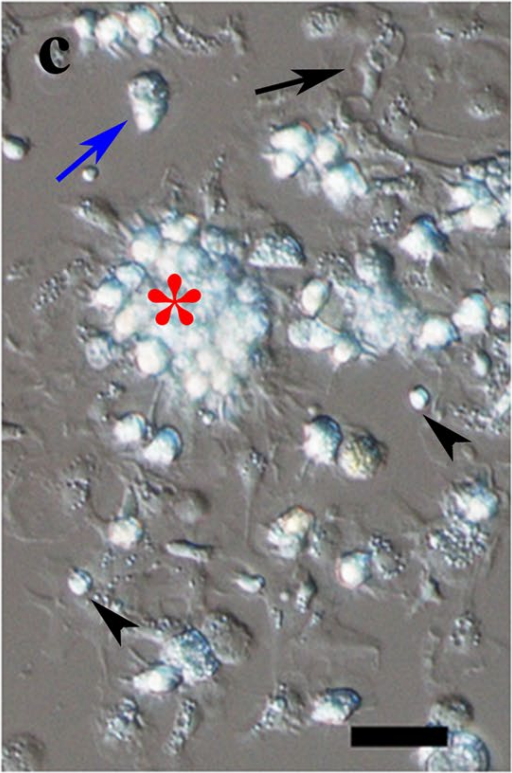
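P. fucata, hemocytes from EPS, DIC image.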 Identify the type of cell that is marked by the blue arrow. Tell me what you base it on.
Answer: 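The marked cell is rounded, bright and refractile, with granular contents. On this evidence: granulocytes.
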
